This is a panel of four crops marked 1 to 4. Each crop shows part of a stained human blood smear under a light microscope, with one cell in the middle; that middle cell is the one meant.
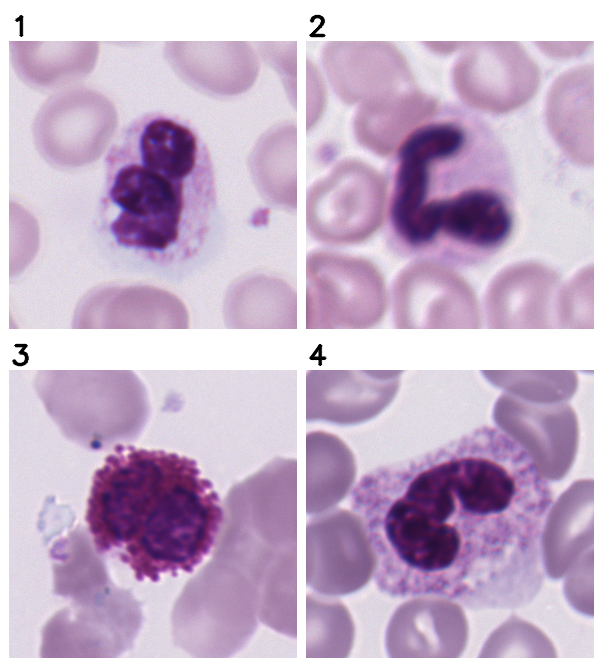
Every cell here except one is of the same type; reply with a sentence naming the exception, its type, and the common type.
Differing from the rest, crop 3 shows an eosinophil; the others all show segmented neutrophils.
